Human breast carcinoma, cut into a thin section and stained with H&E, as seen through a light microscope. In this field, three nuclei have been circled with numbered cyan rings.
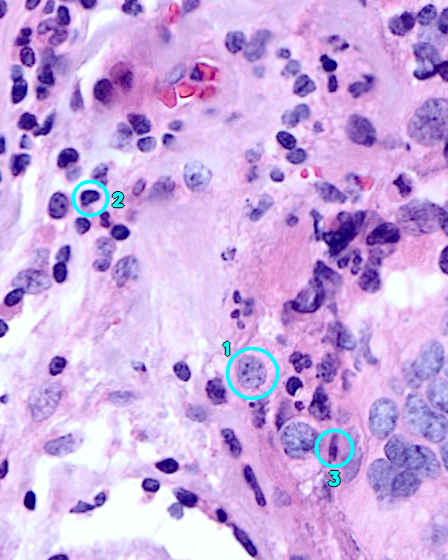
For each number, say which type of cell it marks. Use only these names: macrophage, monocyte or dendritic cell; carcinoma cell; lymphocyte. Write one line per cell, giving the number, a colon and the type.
1: macrophage, monocyte or dendritic cell
2: lymphocyte
3: carcinoma cell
